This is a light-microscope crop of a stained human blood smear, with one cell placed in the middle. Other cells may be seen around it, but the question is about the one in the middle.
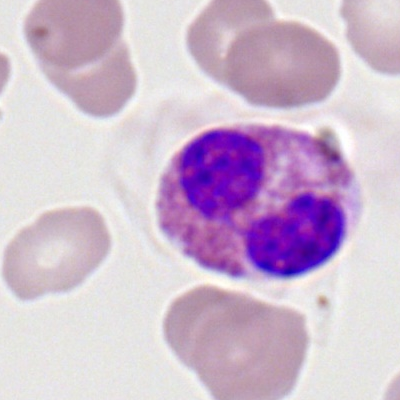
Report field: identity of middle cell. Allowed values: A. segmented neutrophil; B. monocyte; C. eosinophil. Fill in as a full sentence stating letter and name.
Here the right option is C, as the cell in the middle is an eosinophil.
